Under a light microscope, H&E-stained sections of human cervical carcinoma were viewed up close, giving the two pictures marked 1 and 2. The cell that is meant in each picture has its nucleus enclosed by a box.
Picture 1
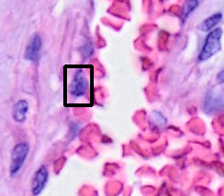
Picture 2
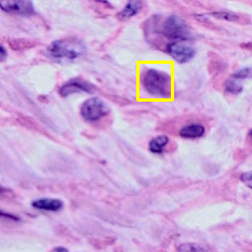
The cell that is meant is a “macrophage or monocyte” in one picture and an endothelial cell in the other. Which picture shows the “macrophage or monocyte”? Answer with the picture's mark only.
2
